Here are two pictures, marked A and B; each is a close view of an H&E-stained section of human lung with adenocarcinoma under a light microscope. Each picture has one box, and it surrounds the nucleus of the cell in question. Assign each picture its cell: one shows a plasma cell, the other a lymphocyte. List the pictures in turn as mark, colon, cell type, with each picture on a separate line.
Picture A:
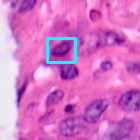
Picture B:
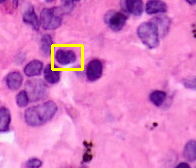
A: plasma cell
B: lymphocyte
